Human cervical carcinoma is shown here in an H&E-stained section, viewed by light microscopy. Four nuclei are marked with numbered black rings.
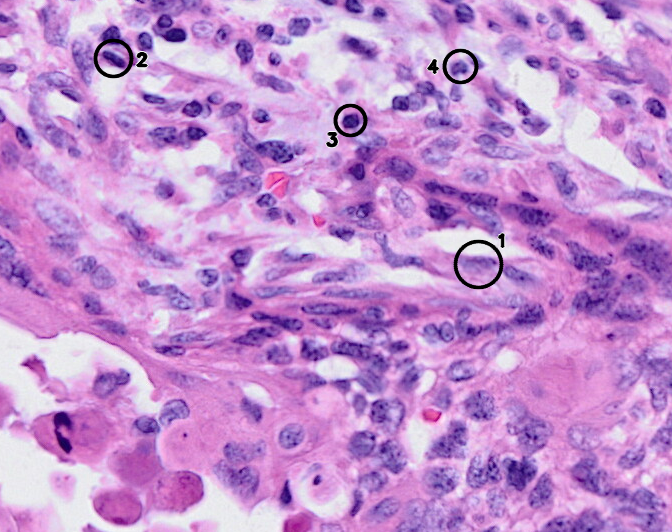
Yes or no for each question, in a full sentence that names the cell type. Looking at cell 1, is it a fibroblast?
Yes, the one numbered 1 is a fibroblast.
